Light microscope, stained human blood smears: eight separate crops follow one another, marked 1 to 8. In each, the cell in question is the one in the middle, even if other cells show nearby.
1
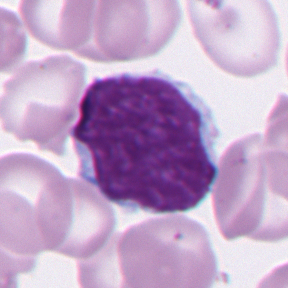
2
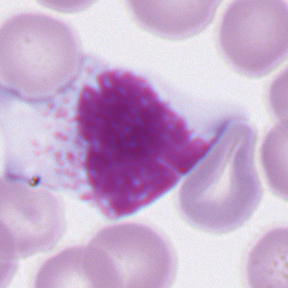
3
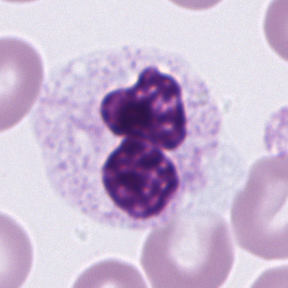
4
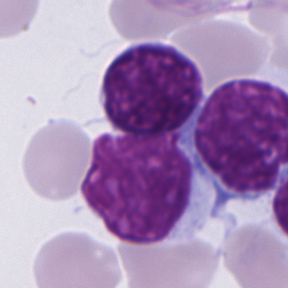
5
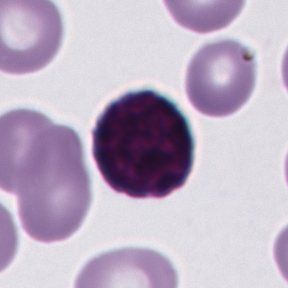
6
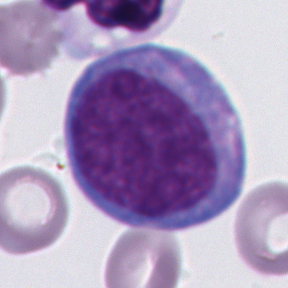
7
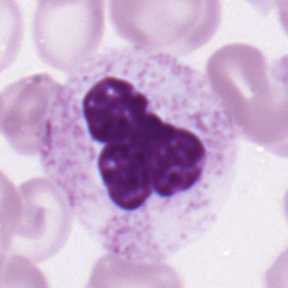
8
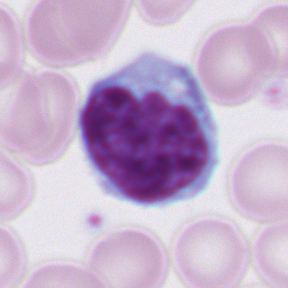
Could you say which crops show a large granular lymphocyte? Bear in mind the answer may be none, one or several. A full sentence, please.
Of the crops shown, crop 2 is the one and only crop with a large granular lymphocyte.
